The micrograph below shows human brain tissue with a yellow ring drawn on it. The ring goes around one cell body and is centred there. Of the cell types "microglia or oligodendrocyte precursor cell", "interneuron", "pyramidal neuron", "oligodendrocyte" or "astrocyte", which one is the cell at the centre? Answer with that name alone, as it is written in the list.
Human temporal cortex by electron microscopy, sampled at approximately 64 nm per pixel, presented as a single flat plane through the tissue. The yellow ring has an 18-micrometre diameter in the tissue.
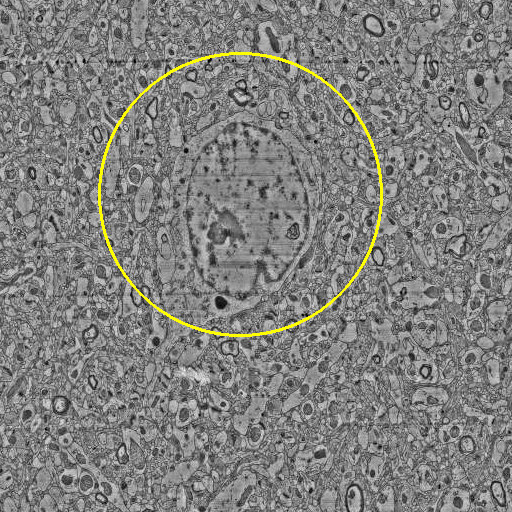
interneuron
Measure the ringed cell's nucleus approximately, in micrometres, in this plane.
In this plane, the nucleus is roughly 11 by 8 micrometres.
